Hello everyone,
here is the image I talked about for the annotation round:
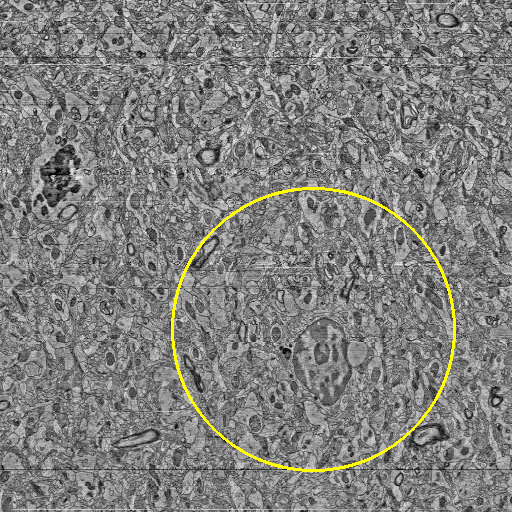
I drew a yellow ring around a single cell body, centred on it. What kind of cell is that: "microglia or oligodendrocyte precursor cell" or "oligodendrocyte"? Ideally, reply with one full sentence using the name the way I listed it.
The cell your yellow ring is centred on is a microglial cell or oligodendrocyte precursor cell, going by your list.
